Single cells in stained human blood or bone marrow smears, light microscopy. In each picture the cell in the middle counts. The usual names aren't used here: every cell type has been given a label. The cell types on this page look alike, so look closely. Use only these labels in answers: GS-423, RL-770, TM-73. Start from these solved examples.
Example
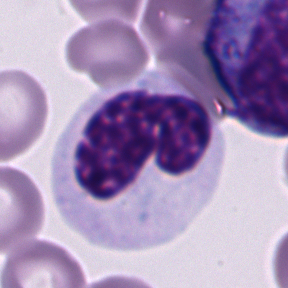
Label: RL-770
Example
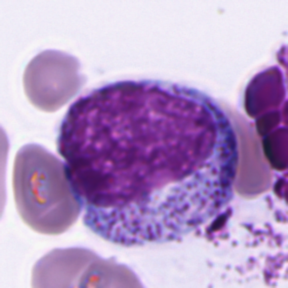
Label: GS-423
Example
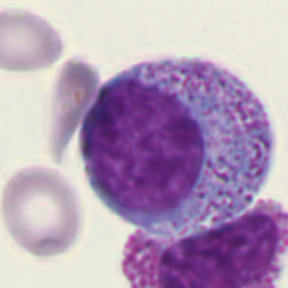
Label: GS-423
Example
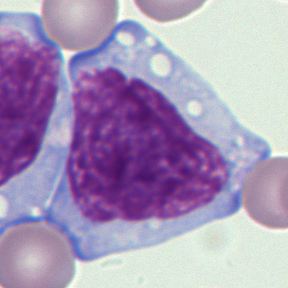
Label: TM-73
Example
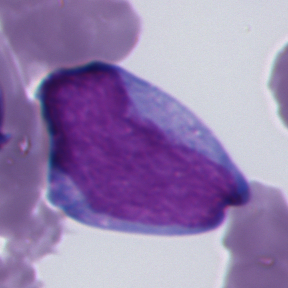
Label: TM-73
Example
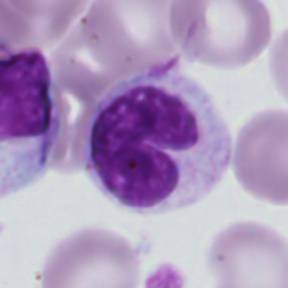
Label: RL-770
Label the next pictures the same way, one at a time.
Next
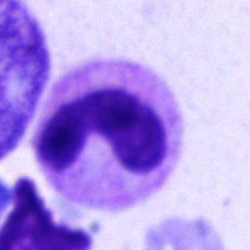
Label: RL-770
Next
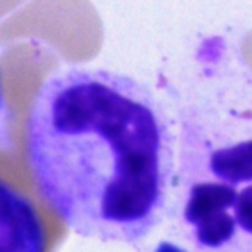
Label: RL-770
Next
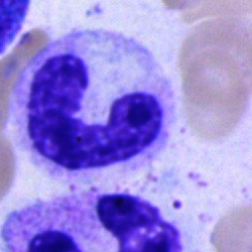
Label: RL-770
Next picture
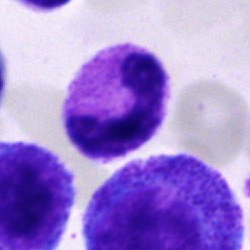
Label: RL-770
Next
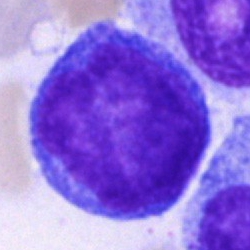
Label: TM-73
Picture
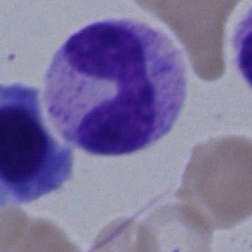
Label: RL-770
